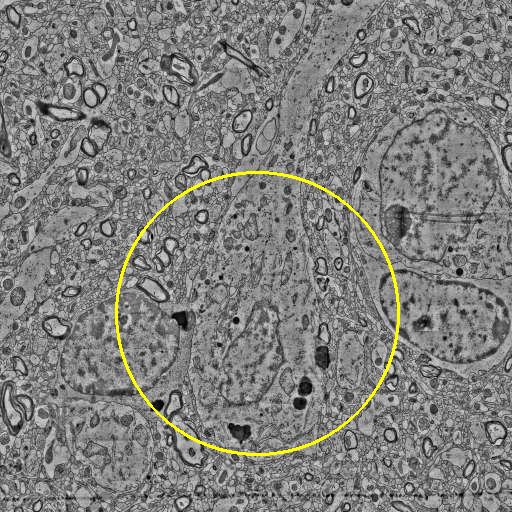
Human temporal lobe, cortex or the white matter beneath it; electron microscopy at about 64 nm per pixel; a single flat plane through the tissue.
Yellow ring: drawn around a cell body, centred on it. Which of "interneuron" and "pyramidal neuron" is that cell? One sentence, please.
That cell body is from a pyramidal neuron.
